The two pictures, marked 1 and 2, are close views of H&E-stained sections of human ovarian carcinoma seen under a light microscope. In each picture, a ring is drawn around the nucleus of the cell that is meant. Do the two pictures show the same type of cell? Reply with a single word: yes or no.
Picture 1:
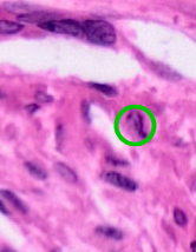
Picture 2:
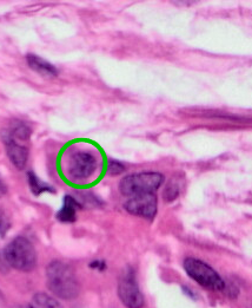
no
